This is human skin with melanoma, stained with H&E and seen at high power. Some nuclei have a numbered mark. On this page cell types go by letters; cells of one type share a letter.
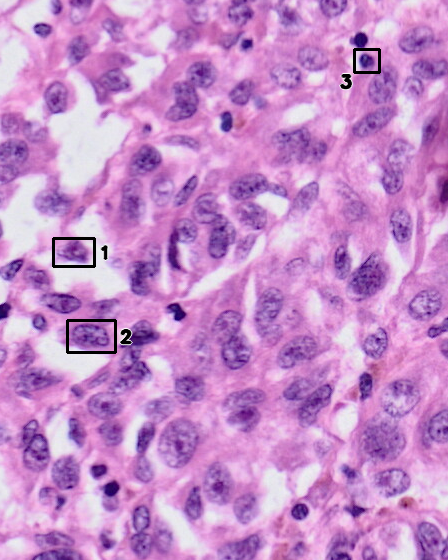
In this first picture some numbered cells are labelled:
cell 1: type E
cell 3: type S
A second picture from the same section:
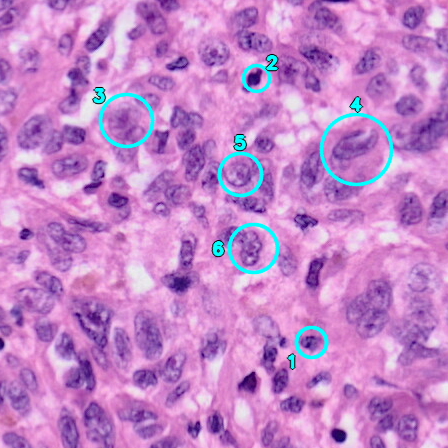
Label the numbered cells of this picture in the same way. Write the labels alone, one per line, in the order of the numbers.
type S
type S
type E
type E
type E
type E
